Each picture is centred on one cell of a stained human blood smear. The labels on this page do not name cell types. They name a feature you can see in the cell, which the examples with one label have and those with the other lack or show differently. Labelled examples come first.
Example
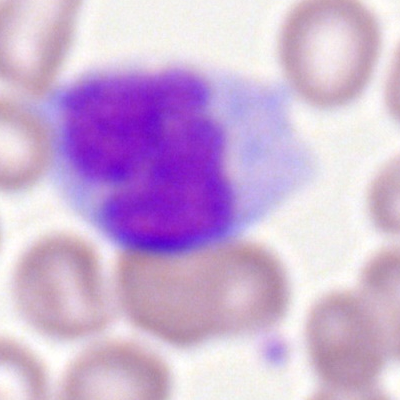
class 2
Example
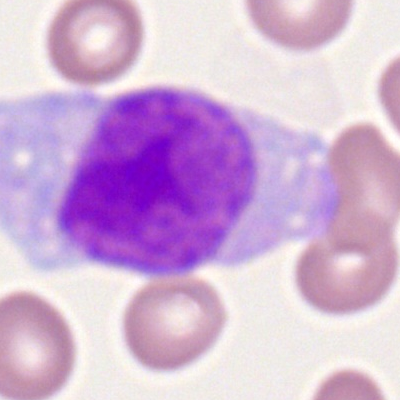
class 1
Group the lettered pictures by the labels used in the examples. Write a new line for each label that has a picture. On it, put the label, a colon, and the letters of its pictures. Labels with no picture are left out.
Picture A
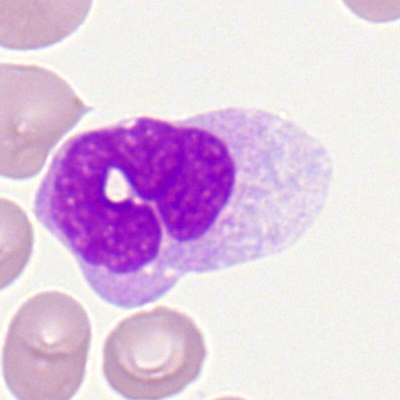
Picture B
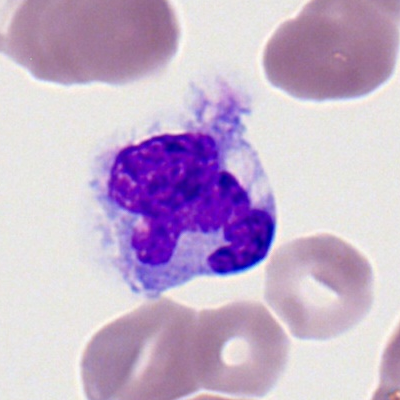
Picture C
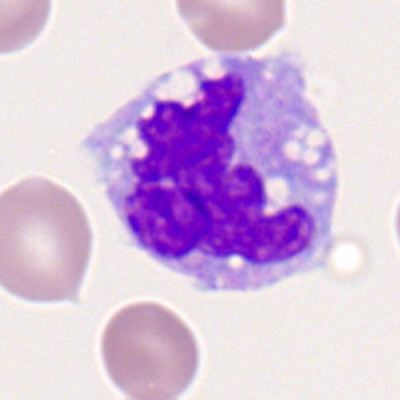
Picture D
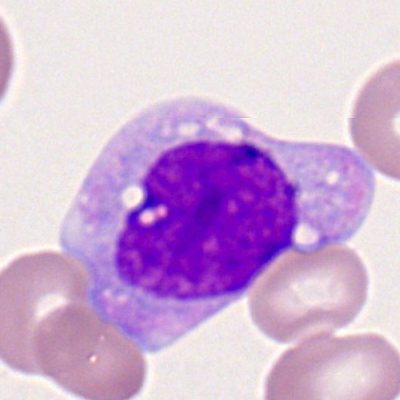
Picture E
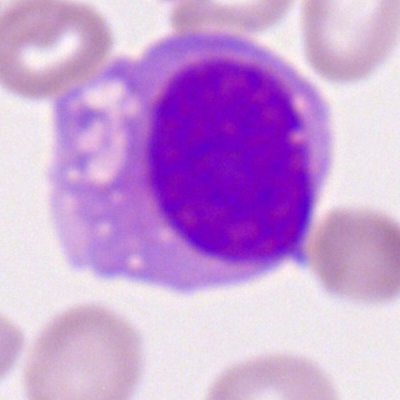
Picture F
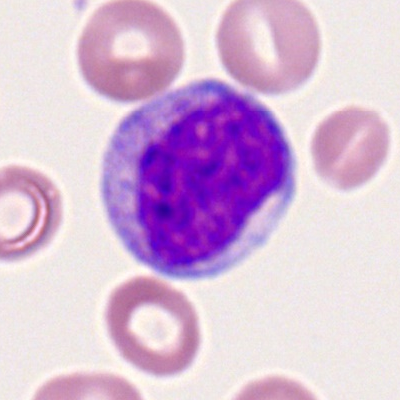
class 2: A, B, C
class 1: D, E, F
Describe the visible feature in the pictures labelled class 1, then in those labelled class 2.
class 1: single compact nucleus; class 2: lobed nucleus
